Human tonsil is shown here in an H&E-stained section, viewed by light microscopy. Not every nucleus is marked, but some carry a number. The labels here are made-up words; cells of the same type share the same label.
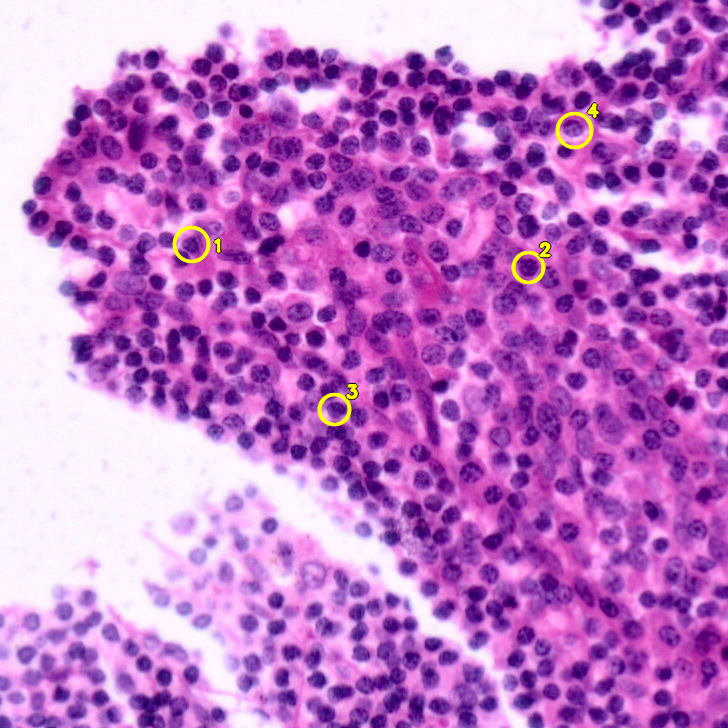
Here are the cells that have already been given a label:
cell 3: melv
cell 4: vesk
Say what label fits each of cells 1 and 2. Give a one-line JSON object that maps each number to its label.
{"1": "vesk", "2": "vesk"}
